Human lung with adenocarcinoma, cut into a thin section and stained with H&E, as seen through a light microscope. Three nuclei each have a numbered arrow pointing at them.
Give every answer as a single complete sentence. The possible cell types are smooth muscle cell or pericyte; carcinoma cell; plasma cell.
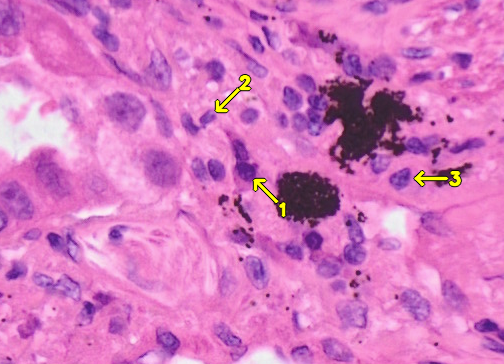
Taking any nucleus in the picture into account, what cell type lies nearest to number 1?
It is a plasma cell whose nucleus is nearest to number 1.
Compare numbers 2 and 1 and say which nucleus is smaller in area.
Nucleus 2 is the smaller one; nucleus 1 covers about 1.5 times its area.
